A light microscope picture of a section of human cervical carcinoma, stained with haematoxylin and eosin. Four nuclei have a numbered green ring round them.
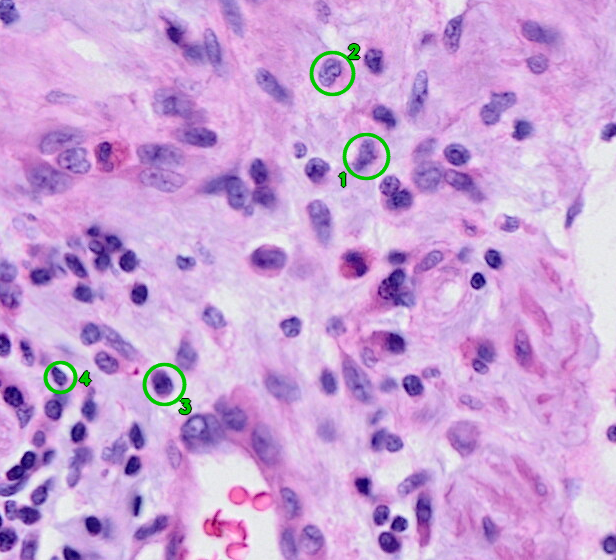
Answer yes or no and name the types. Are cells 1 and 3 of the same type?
No, cell 3 is a lymphocyte, but cell 1 is a macrophage or monocyte.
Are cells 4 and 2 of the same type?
No, listen: cell 4 is a lymphocyte and cell 2 is a macrophage or monocyte.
